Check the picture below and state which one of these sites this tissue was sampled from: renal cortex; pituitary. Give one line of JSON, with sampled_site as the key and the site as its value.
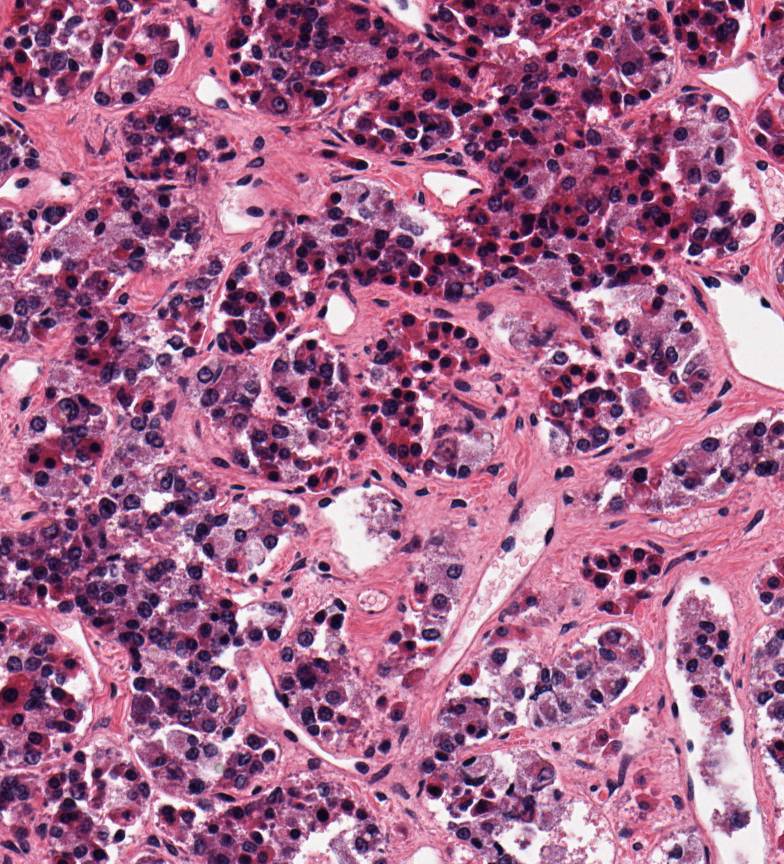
{"sampled_site": "pituitary"}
